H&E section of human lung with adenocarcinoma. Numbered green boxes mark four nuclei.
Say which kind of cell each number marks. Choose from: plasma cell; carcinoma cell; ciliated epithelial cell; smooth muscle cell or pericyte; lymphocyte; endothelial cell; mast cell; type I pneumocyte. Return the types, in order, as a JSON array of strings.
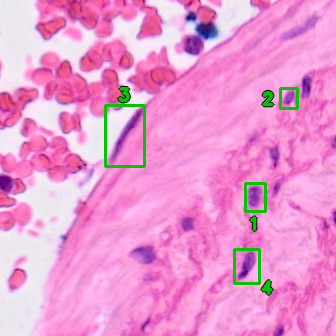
["smooth muscle cell or pericyte", "smooth muscle cell or pericyte", "endothelial cell", "smooth muscle cell or pericyte"]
